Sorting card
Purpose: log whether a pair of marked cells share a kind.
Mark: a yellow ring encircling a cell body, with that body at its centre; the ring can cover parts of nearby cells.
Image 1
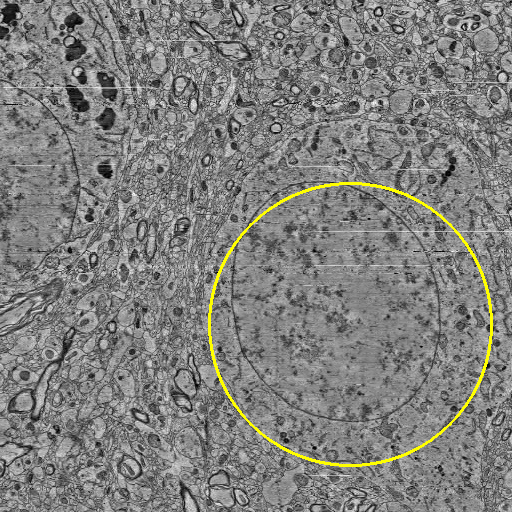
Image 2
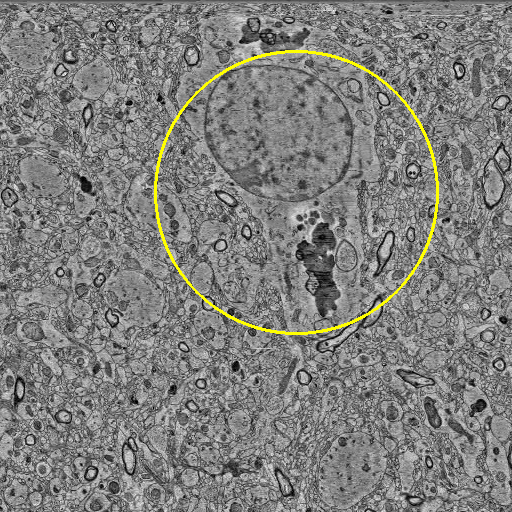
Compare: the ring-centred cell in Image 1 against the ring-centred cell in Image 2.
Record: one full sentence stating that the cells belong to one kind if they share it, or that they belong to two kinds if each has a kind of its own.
Across Images 1 and 2, the two ring-centred cells belong to two kinds.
